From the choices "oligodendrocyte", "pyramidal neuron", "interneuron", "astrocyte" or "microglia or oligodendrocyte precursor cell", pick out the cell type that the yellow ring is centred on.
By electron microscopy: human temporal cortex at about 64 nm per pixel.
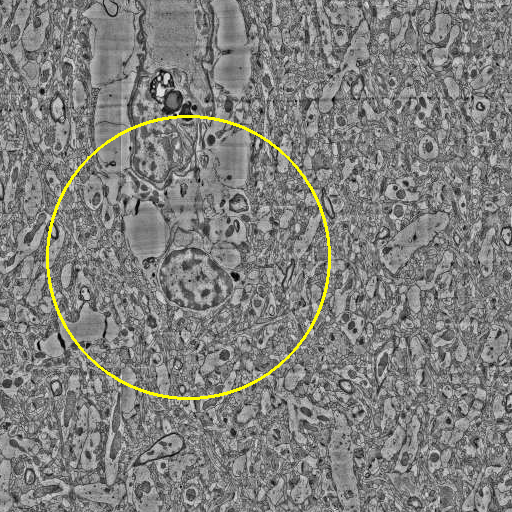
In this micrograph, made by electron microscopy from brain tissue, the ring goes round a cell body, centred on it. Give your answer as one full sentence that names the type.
The yellow ring is centred on a microglial cell or oligodendrocyte precursor cell, whose cell body it encircles in the picture.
